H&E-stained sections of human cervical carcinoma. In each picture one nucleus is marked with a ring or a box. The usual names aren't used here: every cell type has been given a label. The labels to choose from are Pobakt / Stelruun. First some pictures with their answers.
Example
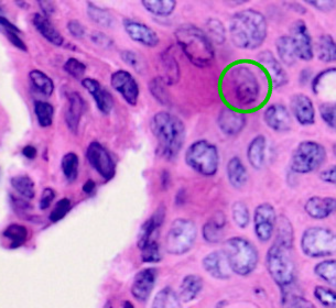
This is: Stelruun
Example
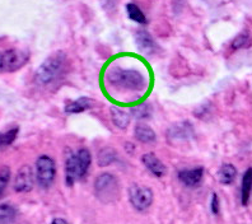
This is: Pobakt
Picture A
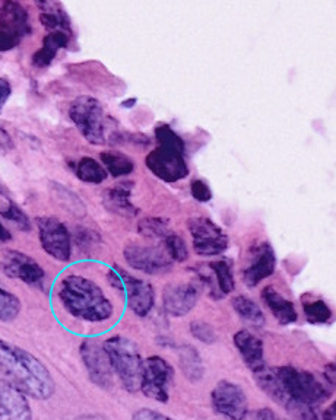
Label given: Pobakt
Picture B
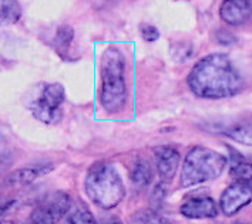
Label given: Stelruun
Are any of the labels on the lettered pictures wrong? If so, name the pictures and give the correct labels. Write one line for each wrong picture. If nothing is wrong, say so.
A: change Pobakt to Stelruun
B: change Stelruun to Pobakt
